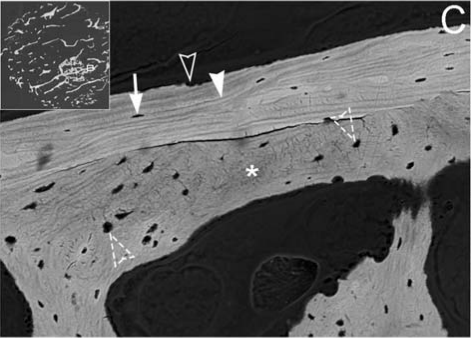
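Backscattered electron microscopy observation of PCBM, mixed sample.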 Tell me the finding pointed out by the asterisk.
Abnormal bone deposition.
